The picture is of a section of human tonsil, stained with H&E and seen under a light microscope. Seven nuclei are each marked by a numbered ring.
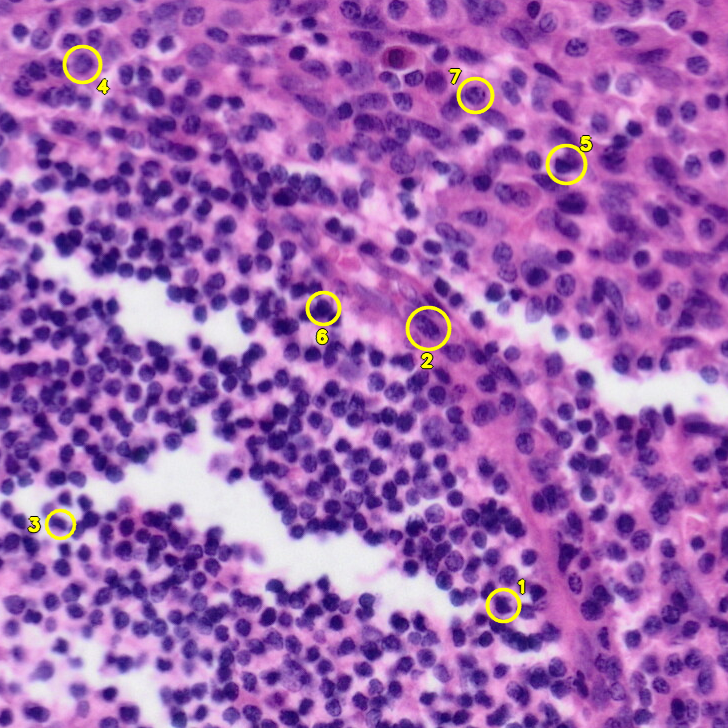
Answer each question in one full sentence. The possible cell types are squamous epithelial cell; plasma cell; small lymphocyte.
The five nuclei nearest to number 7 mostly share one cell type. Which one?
Squamous epithelial cells account for more than half of the five nuclei nearest to number 7.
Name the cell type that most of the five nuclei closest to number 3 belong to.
The majority of the five nuclei closest to number 3 belong to small lymphocytes.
